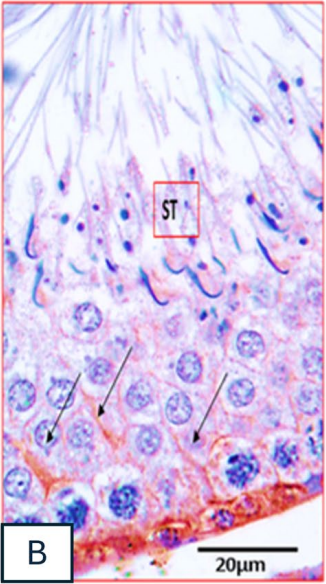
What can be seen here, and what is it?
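Seminiferous epithelium with Sertoli cells and layered cells with round blue nuclei, elongated dark heads toward the lumen and long tails filling the lumen. Orange-brown stain is concentrated along the tubule base in the basal compartment. Thin stained lines run upward between the basal cells. The upper layers and lumen are only faintly tinted.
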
